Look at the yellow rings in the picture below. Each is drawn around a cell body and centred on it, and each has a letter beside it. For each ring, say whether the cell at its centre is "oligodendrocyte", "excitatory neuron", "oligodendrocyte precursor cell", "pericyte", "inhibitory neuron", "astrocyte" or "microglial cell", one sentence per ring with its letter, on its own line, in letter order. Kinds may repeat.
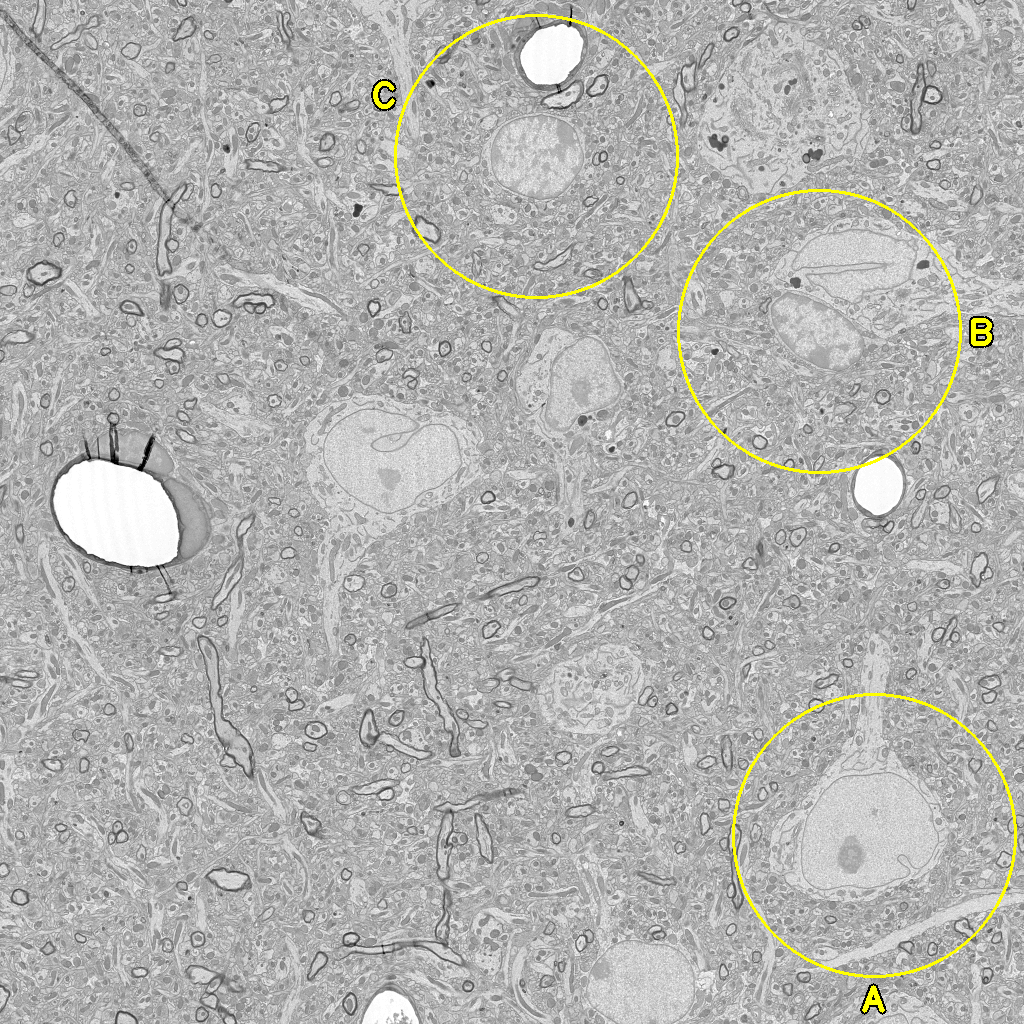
The centred cell of ring A is an excitatory neuron.
The centred cell of ring B is an oligodendrocyte.
The centred cell of ring C is an oligodendrocyte.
